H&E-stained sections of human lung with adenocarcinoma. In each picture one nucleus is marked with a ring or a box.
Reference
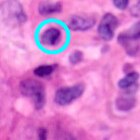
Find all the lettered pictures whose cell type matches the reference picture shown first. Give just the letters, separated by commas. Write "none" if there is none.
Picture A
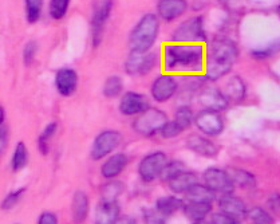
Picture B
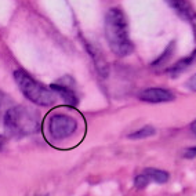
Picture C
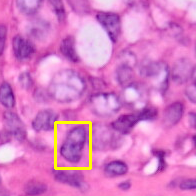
none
